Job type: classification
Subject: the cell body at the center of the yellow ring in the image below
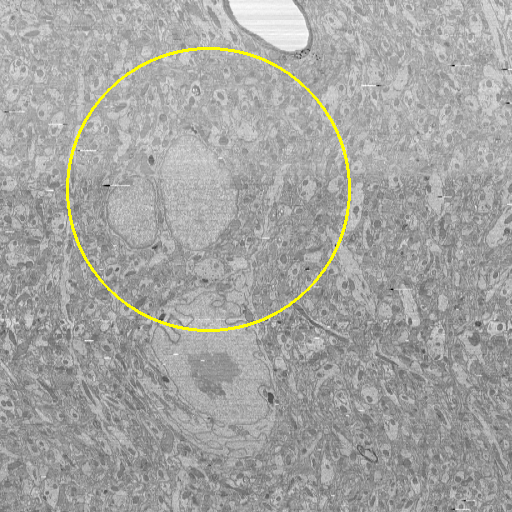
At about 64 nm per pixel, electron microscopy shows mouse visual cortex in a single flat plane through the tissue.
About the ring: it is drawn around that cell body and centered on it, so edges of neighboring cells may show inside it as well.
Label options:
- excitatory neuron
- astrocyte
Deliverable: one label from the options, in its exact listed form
astrocyte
